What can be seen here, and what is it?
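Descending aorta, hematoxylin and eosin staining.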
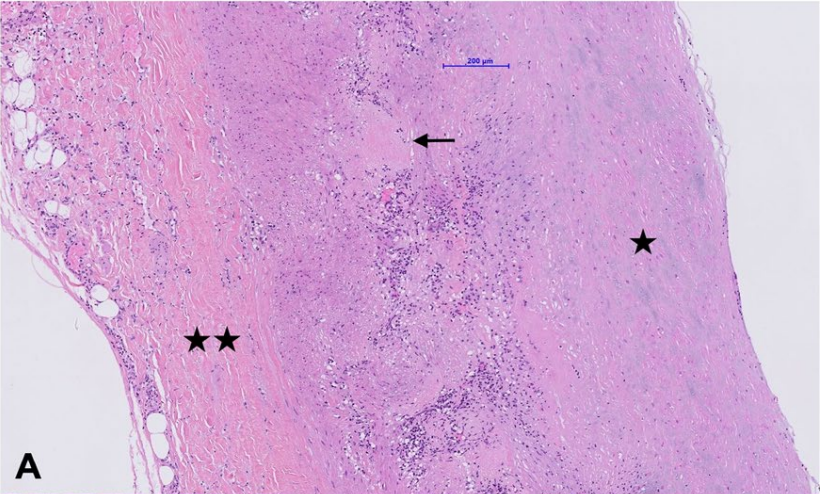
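Full thickness of the aortic wall at low magnification, with a pale, fibrous, sparsely cellular intima on one side and dense pink collagen bordering fat cells on the outer side. The middle of the wall carries patchy dense infiltrates of small dark nuclei and pale acellular areas without nuclei.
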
